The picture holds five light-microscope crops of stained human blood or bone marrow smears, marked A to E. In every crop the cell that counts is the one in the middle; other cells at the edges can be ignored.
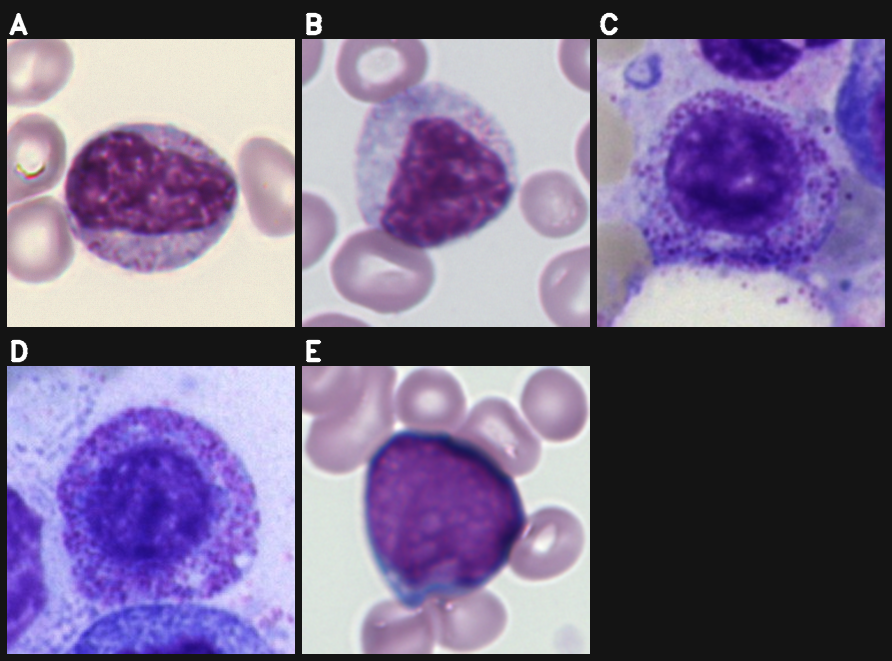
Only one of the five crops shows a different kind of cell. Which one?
E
